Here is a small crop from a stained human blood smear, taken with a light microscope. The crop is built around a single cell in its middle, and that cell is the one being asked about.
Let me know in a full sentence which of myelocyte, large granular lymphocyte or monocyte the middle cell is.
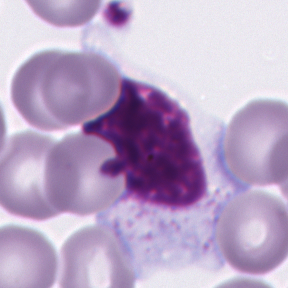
In short, the cell at the center is a large granular lymphocyte.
